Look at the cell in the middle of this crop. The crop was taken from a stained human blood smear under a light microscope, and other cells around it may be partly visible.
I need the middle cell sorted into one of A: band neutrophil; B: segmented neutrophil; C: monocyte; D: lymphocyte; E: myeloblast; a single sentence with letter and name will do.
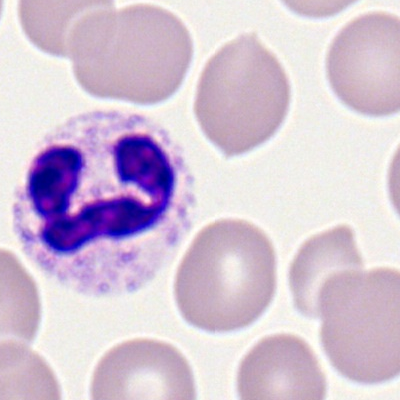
Option B is correct in that the central cell is a segmented neutrophil.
